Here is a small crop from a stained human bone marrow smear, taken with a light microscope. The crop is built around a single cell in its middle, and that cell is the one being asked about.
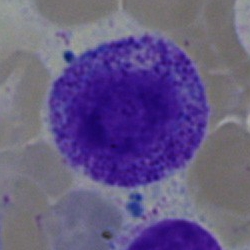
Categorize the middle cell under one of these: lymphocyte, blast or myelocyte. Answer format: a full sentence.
The cell at the heart of this crop is a myelocyte.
